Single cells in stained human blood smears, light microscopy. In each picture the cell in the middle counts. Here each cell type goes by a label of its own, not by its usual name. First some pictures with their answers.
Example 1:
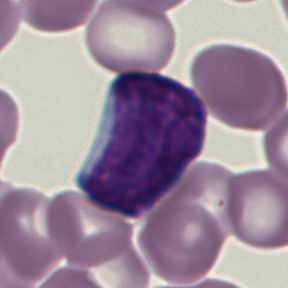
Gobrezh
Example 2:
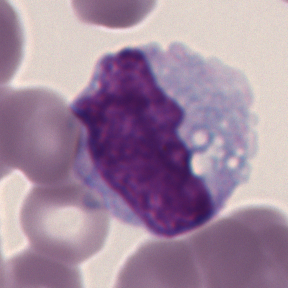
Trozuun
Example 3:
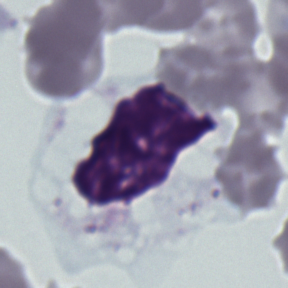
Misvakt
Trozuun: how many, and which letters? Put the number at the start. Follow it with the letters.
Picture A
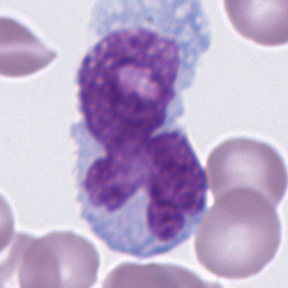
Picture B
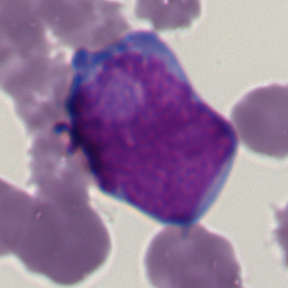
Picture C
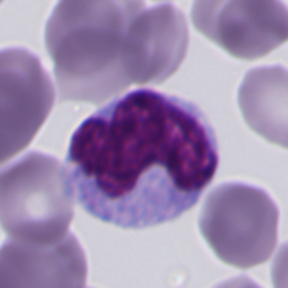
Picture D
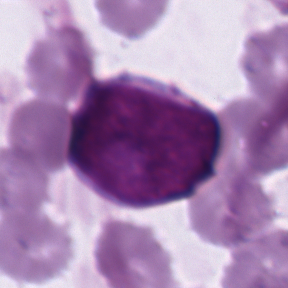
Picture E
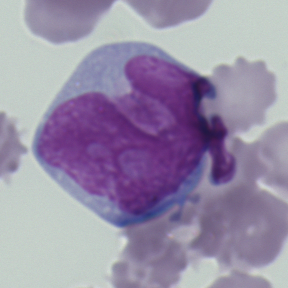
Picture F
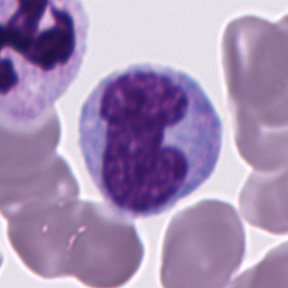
3: A, C, F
